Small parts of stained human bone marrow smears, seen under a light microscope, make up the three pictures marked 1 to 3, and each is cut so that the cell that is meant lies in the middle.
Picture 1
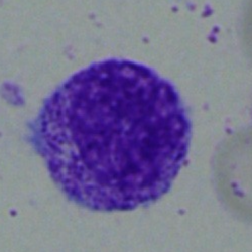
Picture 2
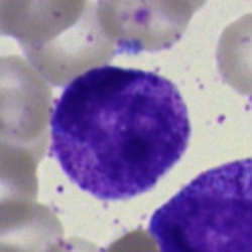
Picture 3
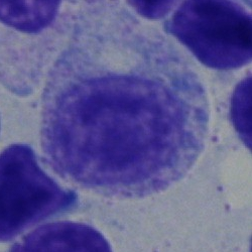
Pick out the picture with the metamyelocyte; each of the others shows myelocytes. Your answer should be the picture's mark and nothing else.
2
